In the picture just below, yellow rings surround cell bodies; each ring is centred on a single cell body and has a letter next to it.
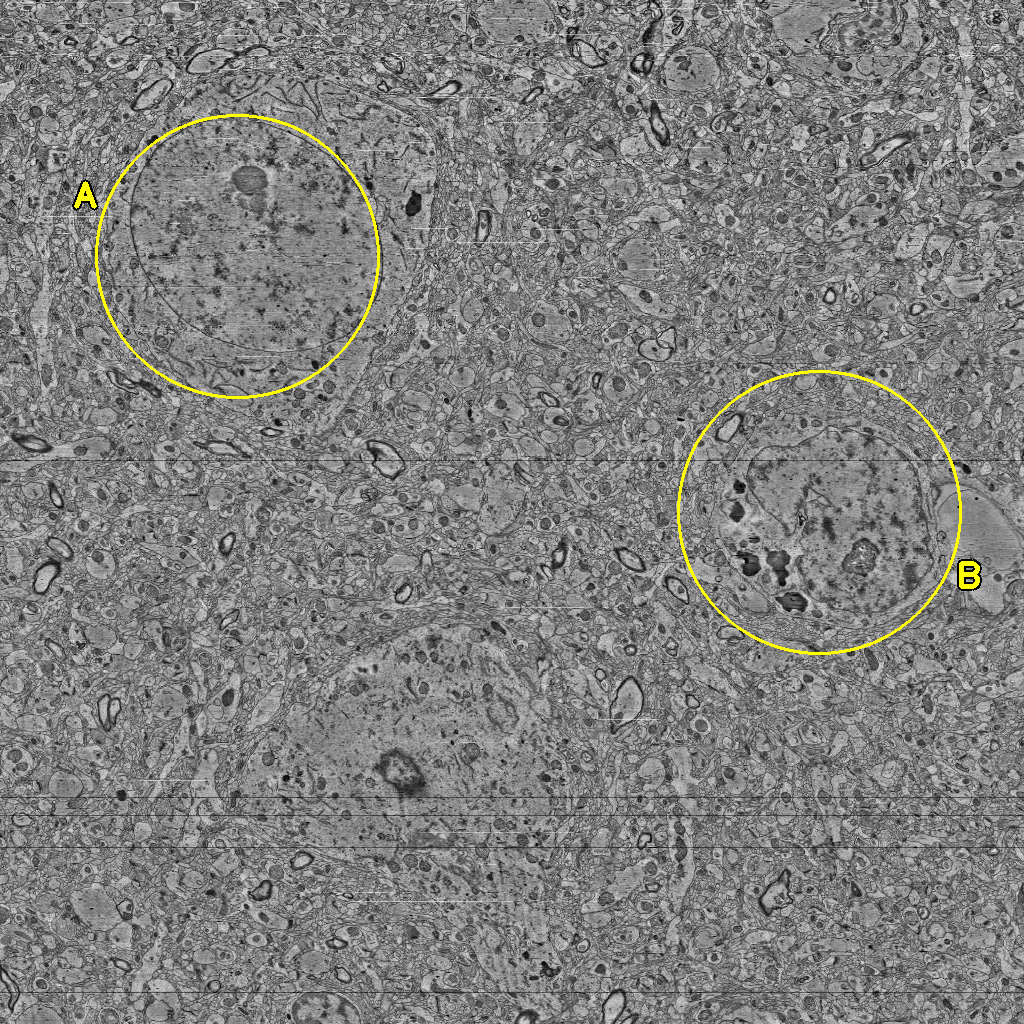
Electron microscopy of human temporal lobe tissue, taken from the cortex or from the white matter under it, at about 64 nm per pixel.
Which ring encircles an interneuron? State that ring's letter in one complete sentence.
The letter B marks the ring centred on the cell asked for in the picture.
